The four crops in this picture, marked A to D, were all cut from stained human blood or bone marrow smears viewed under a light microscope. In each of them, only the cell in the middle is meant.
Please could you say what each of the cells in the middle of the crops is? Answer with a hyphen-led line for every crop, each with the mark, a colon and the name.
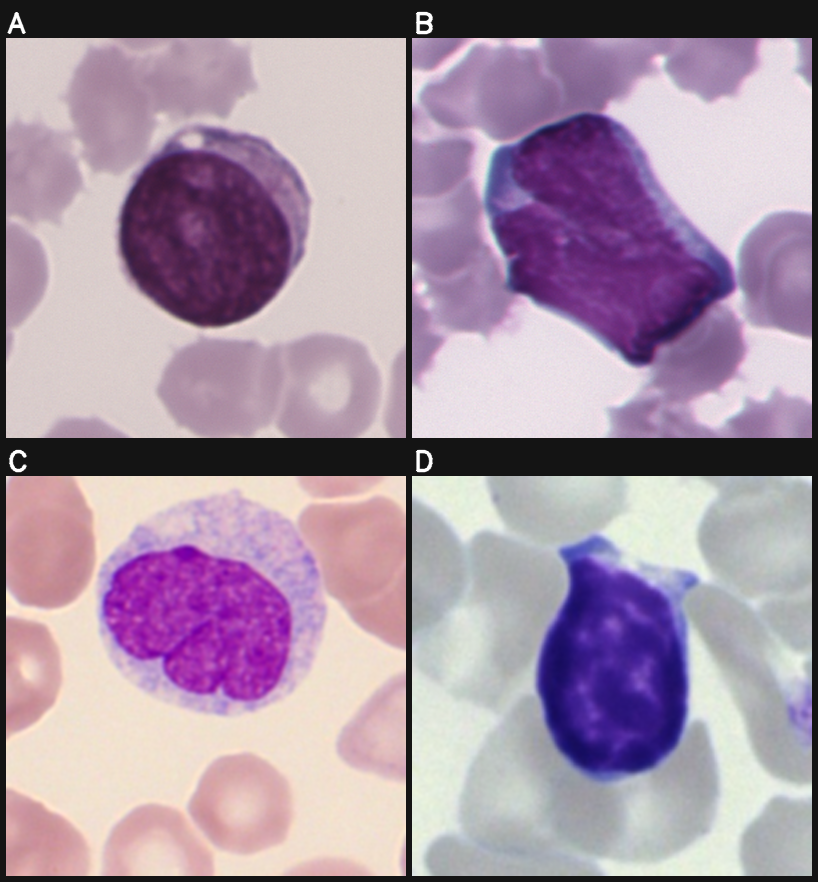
- A: blast
- B: blast
- C: monocyte
- D: lymphocyte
